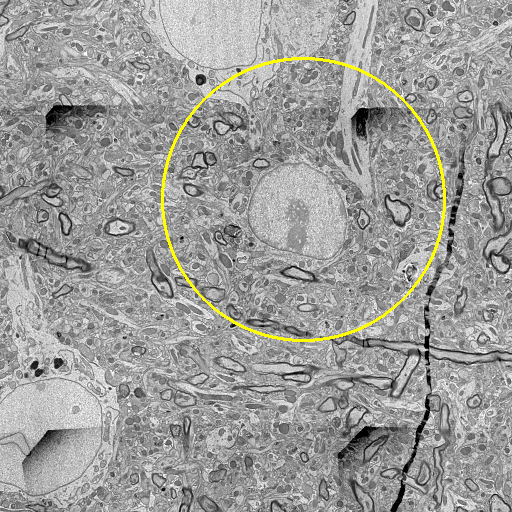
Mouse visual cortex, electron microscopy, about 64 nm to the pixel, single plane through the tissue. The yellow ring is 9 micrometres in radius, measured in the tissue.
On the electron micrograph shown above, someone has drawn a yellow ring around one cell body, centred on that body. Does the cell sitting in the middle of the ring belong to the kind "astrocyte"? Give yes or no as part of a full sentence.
Yes, the cell located in the middle of the ring in the micrograph is of that kind.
